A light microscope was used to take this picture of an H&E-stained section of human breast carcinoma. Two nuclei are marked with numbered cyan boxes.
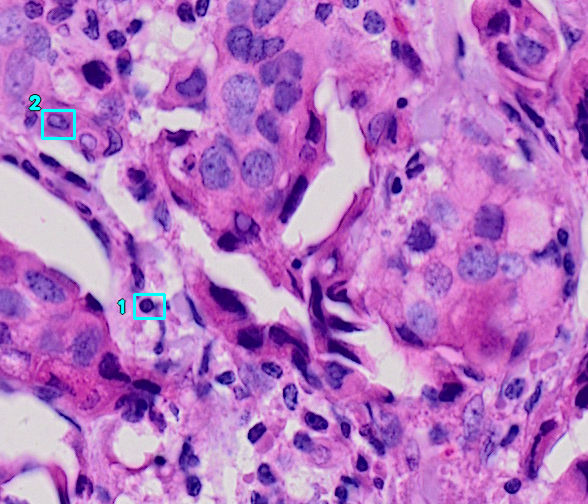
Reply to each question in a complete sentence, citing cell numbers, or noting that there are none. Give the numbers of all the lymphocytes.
Only nucleus 1 belongs to a lymphocyte; the other numbered nuclei do not.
